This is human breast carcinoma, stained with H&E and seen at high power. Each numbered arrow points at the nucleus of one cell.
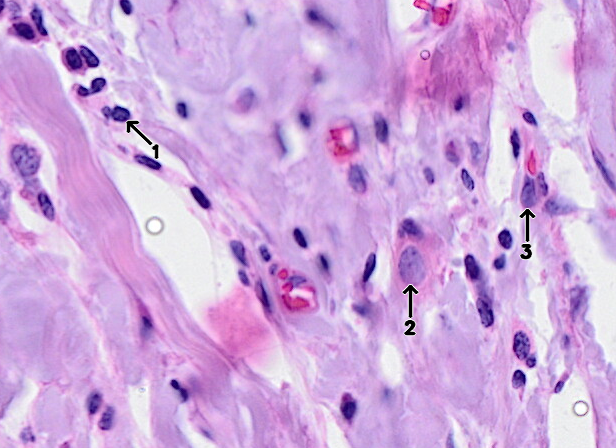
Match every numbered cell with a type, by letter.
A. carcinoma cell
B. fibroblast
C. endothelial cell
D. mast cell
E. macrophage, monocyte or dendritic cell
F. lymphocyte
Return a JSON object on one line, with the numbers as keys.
{"1": "F", "2": "C", "3": "C"}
